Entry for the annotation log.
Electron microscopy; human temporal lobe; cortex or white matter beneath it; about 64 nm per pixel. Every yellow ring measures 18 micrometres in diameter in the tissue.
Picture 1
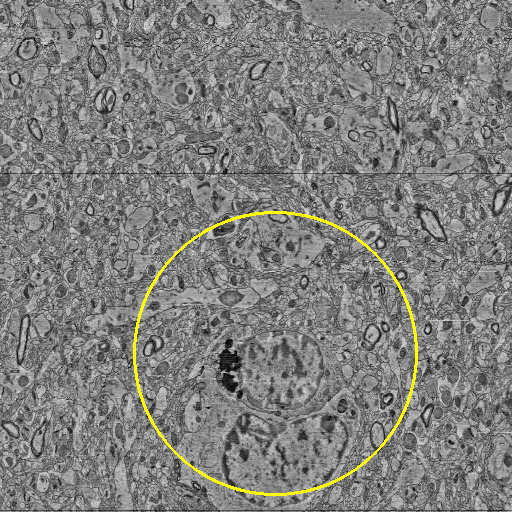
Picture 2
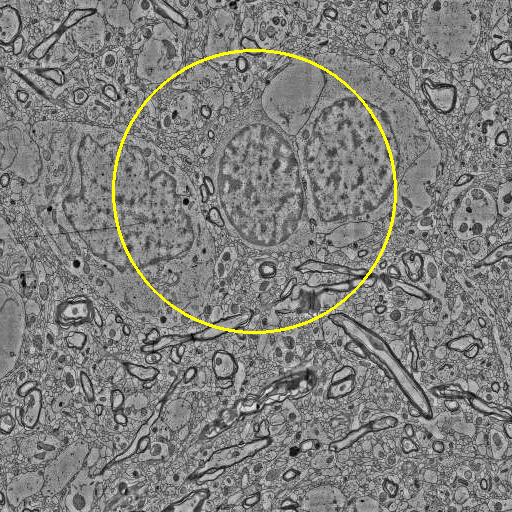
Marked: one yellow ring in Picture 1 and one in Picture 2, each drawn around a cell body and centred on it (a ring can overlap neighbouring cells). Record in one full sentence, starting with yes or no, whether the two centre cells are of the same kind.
Yes, both cells are of the same kind.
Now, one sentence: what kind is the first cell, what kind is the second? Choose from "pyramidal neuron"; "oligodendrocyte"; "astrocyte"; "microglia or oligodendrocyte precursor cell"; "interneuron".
Each cell, in the first picture and the second, is an oligodendrocyte.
